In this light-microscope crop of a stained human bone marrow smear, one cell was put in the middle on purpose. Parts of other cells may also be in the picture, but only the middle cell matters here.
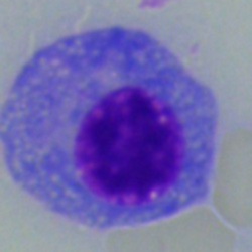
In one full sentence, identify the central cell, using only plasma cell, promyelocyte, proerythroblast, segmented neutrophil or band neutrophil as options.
The cell shown in the center of this light-microscope crop is a plasma cell.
